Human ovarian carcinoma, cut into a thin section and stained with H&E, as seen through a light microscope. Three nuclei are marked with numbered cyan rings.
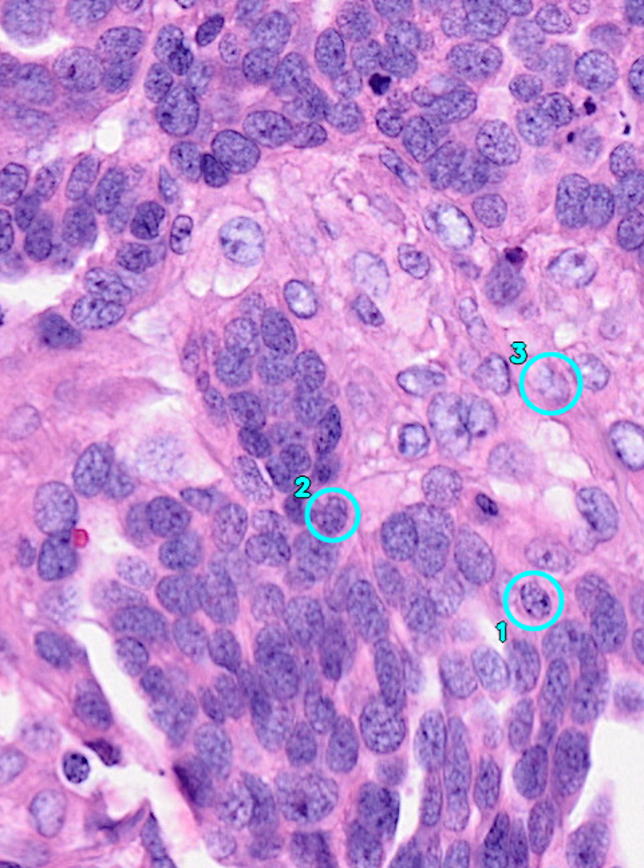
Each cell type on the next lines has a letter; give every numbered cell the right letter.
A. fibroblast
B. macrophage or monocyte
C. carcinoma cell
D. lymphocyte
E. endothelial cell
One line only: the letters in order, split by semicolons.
B; C; A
